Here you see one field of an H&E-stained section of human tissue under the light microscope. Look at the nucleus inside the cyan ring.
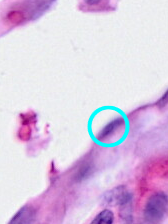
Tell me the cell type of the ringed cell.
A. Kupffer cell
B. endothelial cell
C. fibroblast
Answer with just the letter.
B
